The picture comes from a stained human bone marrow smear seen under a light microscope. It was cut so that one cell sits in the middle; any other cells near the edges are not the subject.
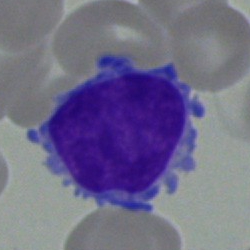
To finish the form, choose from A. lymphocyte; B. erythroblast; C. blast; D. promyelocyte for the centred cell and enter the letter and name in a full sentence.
Correctly, option C names the cell in the middle a blast.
